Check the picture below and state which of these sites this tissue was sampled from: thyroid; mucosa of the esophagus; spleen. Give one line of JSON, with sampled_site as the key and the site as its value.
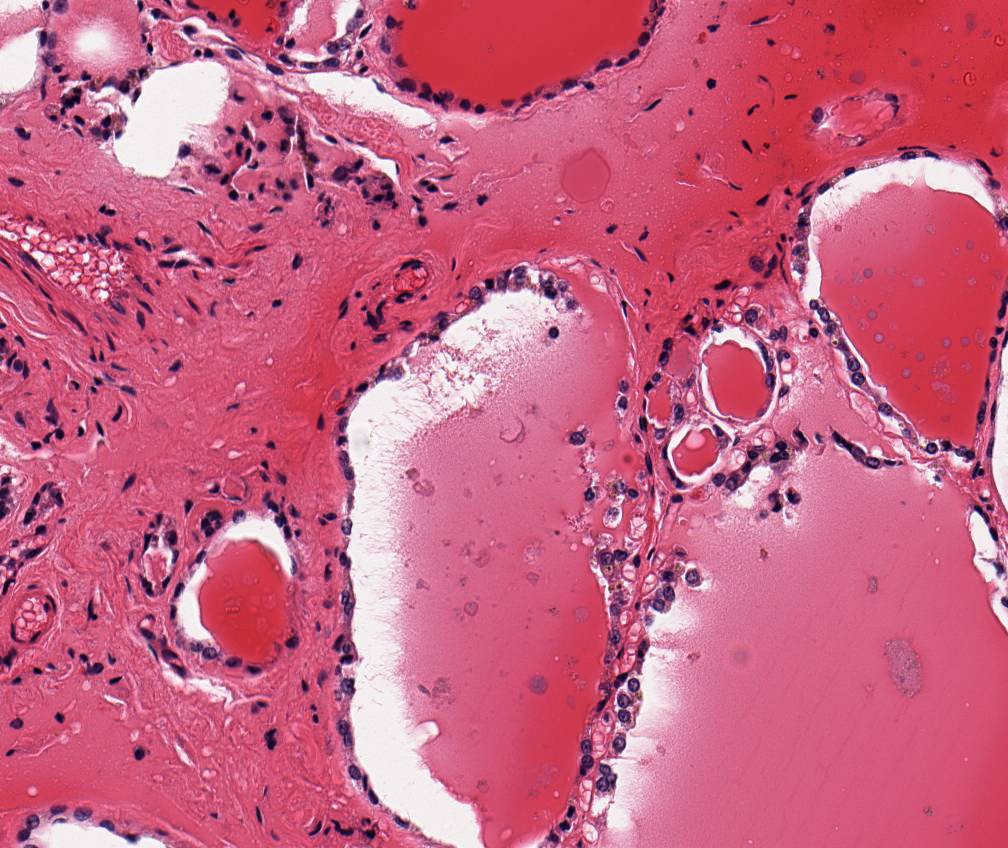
{"sampled_site": "thyroid"}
